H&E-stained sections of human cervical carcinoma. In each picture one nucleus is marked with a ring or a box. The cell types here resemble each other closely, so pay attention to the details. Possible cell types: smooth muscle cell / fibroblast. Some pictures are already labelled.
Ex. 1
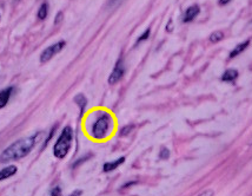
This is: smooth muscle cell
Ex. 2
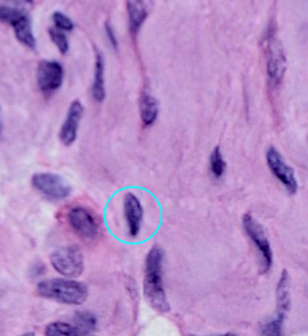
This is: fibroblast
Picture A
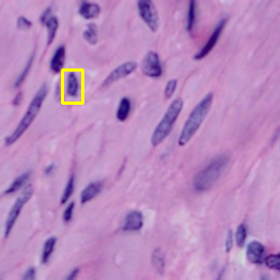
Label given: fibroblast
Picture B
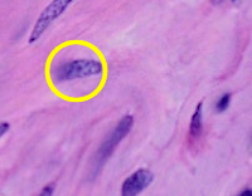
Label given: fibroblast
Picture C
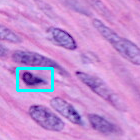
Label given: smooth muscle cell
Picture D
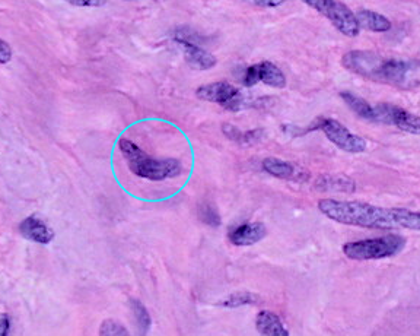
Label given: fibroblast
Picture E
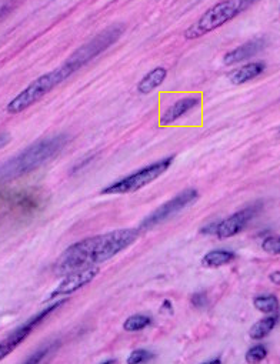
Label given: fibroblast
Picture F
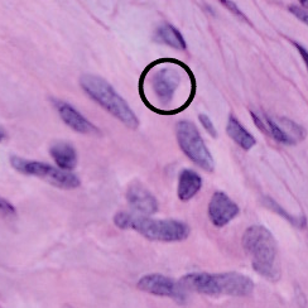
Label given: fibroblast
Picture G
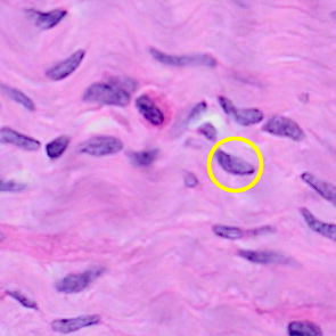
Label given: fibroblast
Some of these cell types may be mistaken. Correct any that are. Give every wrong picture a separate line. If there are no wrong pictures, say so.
E is labelled fibroblast; correct label: smooth muscle cell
